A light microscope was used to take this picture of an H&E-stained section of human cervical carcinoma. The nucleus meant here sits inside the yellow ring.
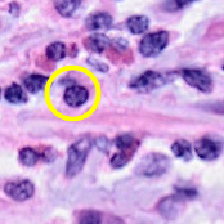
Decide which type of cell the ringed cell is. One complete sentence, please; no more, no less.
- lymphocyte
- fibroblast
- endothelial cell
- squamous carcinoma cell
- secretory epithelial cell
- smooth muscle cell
Recorded by type, the ringed cell is a lymphocyte.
